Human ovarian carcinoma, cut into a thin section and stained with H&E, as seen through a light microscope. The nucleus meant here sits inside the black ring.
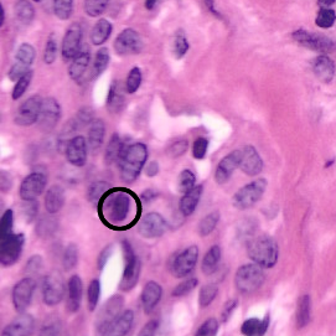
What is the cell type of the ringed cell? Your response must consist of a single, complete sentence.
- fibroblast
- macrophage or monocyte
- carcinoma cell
The expected answer is simply that the ringed cell is a carcinoma cell.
